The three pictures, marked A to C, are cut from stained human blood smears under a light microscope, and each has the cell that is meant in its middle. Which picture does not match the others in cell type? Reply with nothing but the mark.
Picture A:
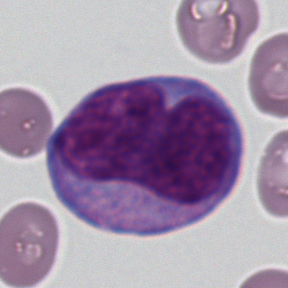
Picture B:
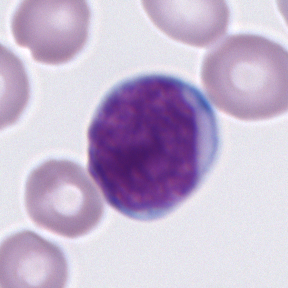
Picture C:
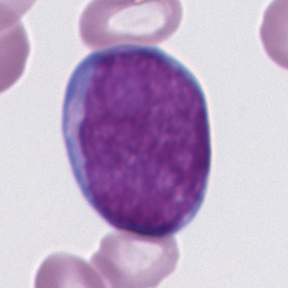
A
